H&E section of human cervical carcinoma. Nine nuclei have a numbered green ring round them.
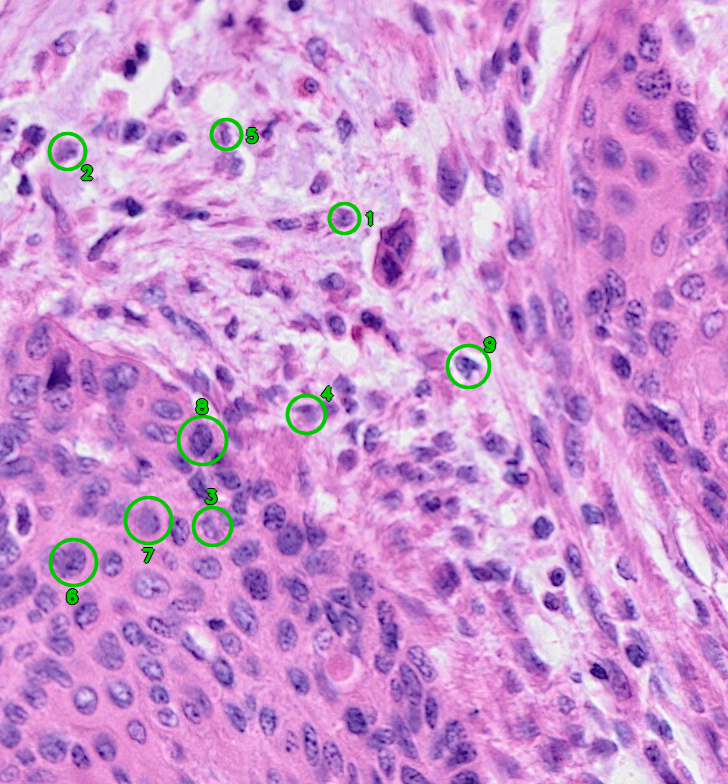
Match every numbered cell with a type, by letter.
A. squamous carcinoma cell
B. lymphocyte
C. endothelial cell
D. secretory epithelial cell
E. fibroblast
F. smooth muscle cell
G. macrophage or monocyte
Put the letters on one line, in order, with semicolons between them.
E; G; A; E; E; A; A; A; B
